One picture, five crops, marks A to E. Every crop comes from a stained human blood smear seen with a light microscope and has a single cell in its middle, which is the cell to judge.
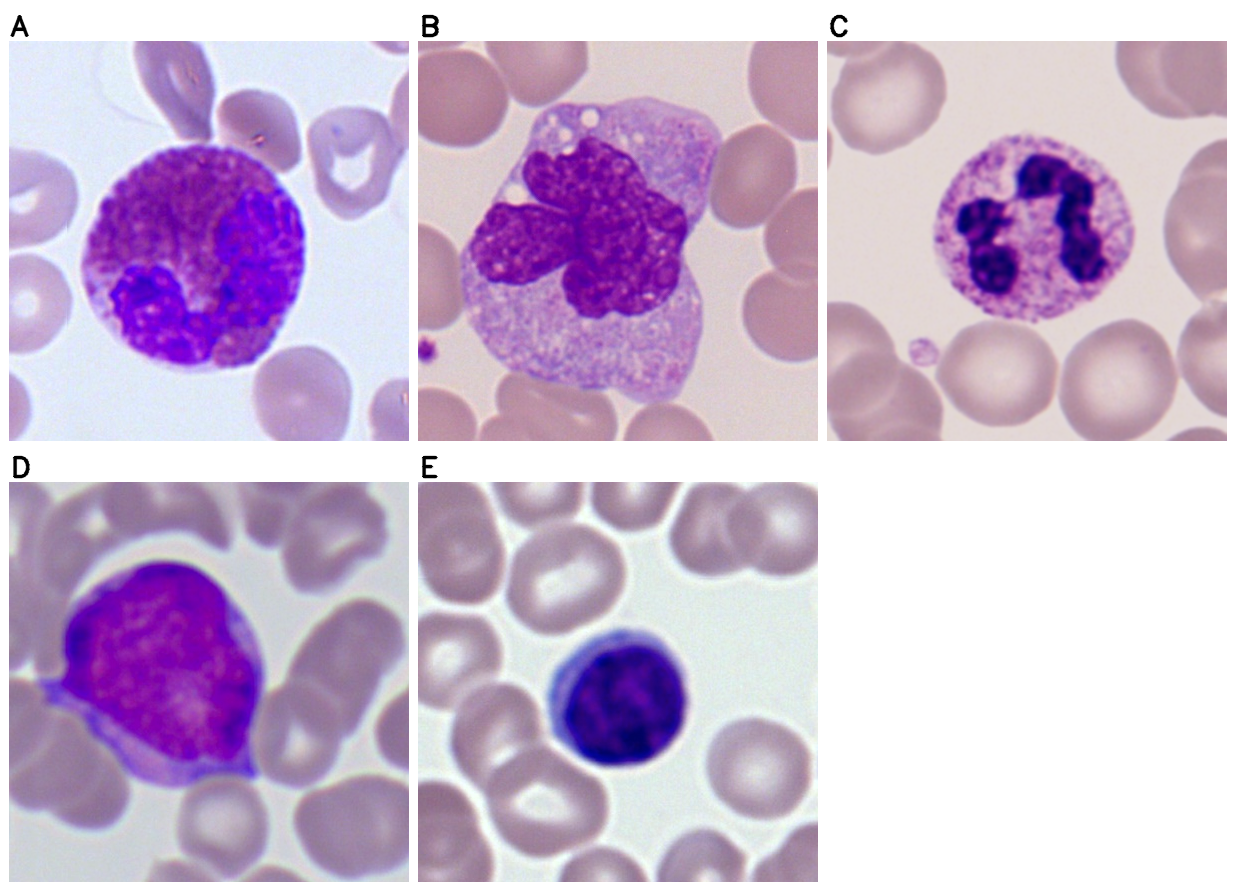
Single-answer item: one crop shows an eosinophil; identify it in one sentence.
Crop A matches the request, showing an eosinophil.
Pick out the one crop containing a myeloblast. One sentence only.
On review of the set, crop D is the one showing a myeloblast.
